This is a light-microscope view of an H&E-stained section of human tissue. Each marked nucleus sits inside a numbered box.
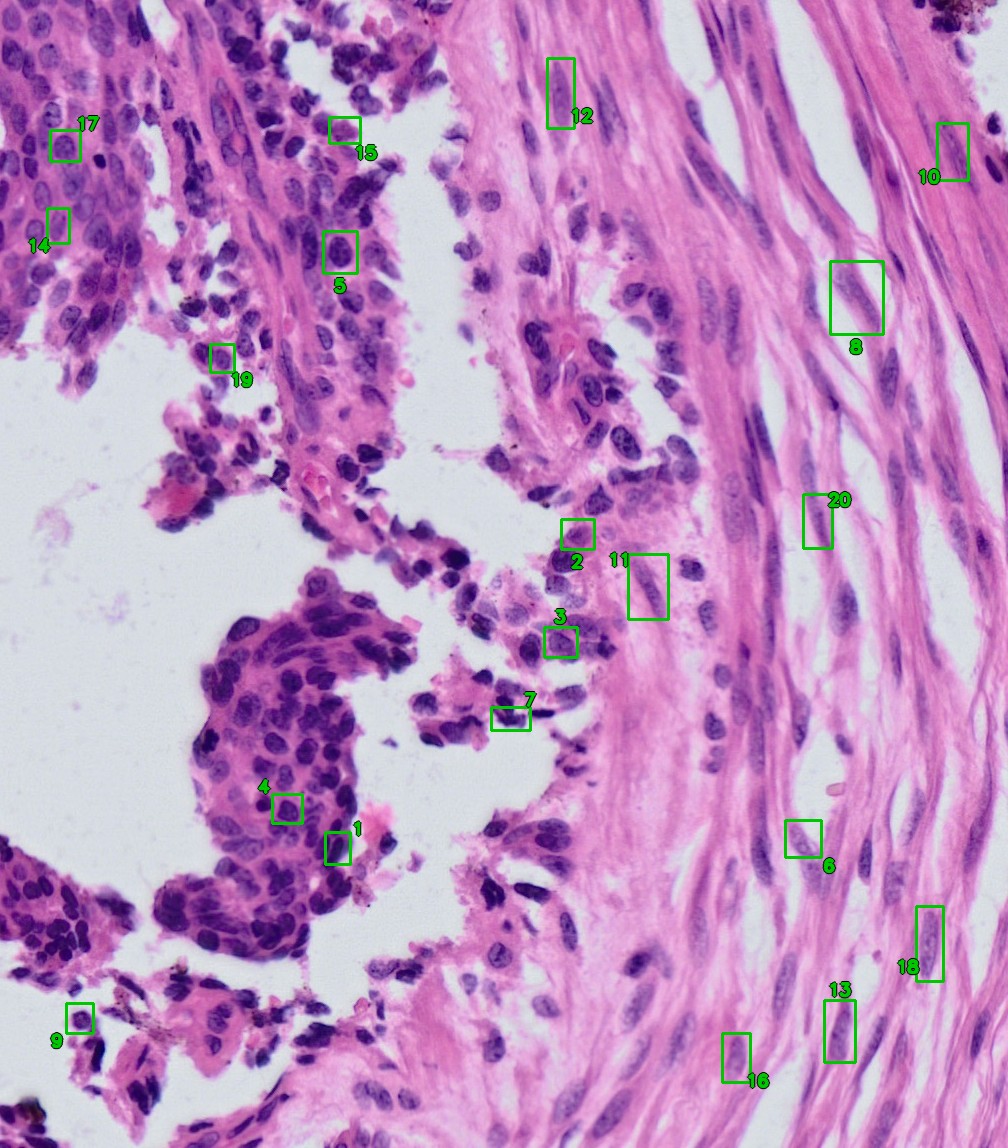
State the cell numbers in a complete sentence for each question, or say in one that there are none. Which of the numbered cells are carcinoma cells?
The cells bearing the numbers 1, 2, 3, 4, 5, 7, 9, 14, 15, 17 and 19 are carcinoma cells.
